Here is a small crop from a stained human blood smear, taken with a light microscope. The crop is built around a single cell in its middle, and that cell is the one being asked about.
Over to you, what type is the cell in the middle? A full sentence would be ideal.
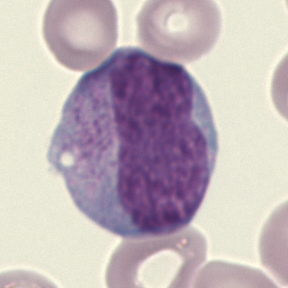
At the crop's centre, the cell is an atypical promyelocyte.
